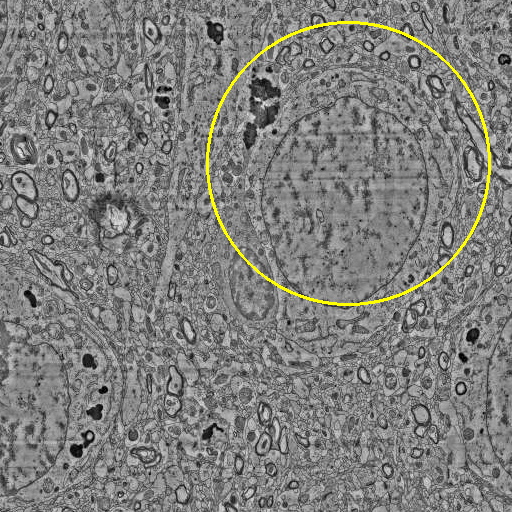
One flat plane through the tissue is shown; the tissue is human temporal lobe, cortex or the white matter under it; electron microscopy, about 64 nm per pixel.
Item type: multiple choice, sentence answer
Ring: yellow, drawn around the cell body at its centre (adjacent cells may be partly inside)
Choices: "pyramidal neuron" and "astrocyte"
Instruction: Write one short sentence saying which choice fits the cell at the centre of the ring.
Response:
This ring is drawn around a pyramidal neuron.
